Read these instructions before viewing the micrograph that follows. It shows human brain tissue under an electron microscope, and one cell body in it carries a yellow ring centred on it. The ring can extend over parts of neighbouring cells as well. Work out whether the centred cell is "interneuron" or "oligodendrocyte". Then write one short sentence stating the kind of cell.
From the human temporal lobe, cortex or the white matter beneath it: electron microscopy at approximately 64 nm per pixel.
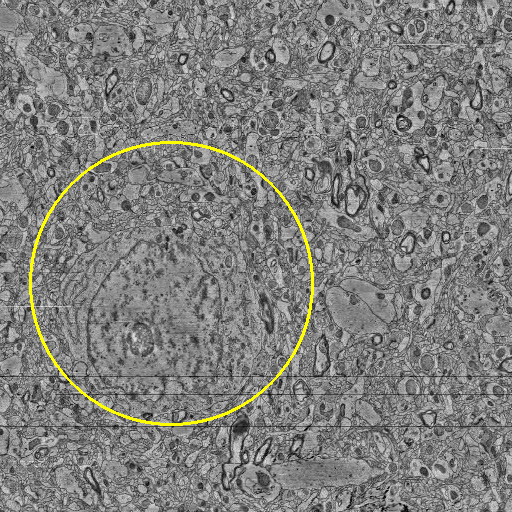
The ringed cell is an interneuron.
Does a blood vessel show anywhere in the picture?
No, there is no blood vessel in the image.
